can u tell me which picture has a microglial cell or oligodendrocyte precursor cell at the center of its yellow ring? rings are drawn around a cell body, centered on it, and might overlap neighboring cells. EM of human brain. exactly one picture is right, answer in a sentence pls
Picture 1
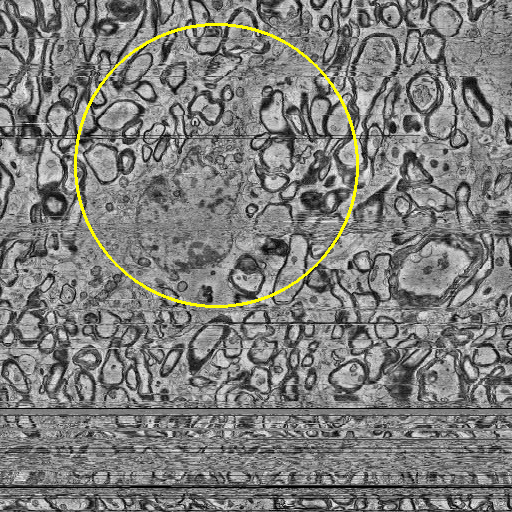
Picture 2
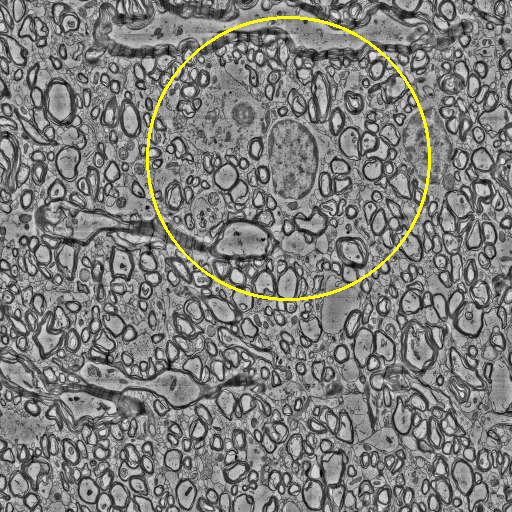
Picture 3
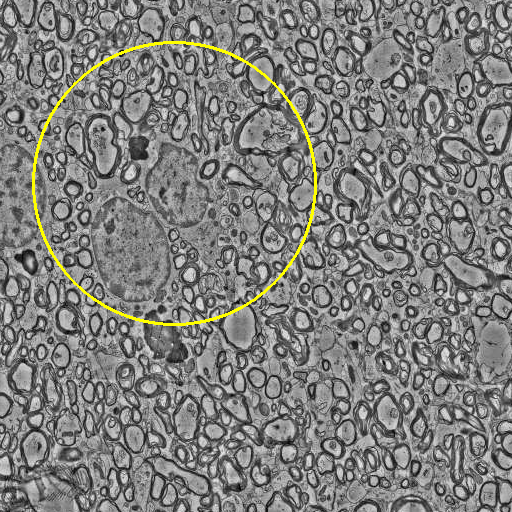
Picture 2 is the one.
